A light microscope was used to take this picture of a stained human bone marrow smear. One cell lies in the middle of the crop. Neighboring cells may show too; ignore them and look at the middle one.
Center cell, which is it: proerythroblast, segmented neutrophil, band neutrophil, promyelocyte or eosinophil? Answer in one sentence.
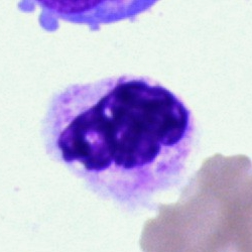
The cell at the middle of the frame should be recorded as a segmented neutrophil.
